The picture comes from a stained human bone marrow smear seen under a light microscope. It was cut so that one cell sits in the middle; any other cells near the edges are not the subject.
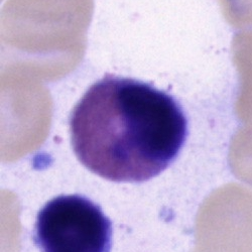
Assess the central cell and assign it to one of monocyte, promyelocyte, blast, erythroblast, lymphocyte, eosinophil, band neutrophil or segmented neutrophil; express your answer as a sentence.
Of the cells in this crop, the central one is an eosinophil.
